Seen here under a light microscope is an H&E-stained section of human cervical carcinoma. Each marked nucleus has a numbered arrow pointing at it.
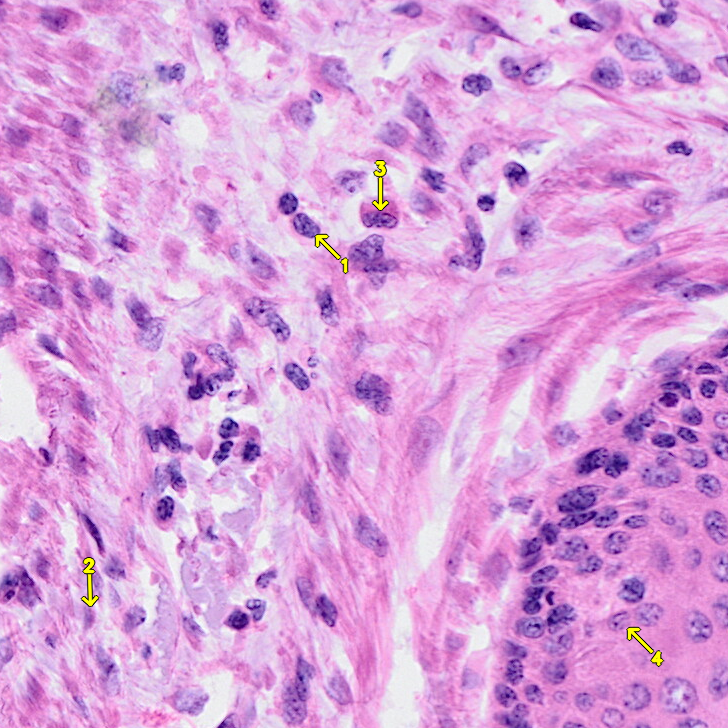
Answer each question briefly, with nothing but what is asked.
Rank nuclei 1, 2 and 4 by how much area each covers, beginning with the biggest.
1, 4, 2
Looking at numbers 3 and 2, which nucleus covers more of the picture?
3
